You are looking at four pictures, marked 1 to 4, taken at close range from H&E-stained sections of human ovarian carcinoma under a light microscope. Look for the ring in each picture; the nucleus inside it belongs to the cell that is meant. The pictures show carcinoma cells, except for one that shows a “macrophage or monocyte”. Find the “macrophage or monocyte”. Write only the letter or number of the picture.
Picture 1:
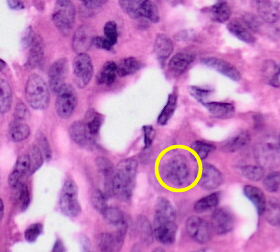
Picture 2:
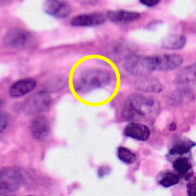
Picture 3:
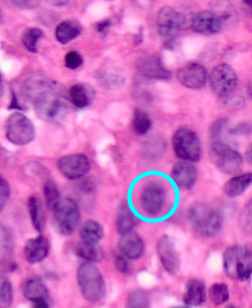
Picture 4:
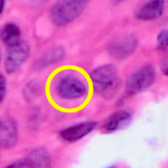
4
